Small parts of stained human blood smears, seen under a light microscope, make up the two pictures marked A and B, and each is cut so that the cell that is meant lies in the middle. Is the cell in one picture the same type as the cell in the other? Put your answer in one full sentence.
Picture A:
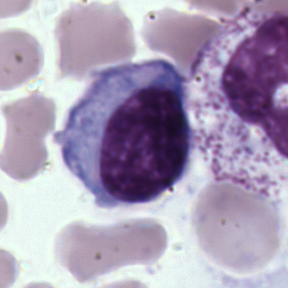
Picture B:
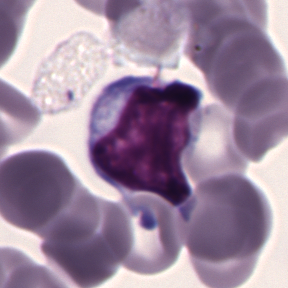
No; the cell in picture A is a plasma cell, while the one in picture B is a typical lymphocyte.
